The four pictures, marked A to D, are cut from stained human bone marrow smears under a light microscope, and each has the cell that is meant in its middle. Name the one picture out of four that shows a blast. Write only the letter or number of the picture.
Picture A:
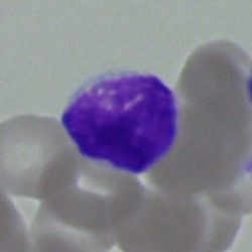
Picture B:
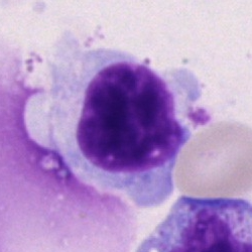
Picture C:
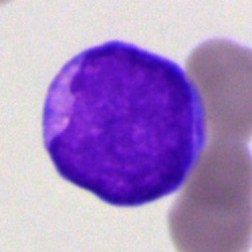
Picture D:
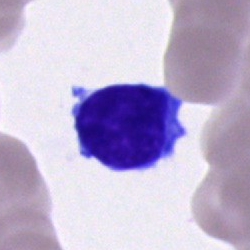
C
